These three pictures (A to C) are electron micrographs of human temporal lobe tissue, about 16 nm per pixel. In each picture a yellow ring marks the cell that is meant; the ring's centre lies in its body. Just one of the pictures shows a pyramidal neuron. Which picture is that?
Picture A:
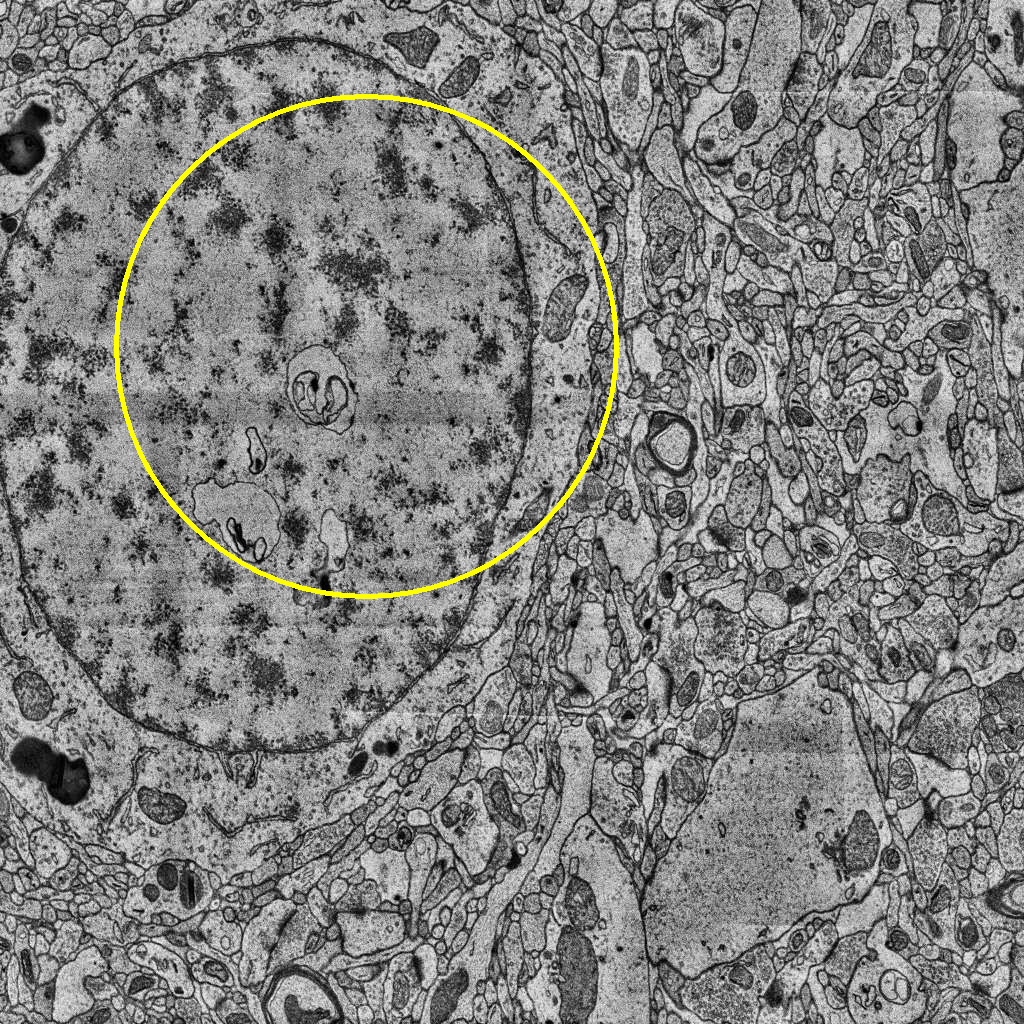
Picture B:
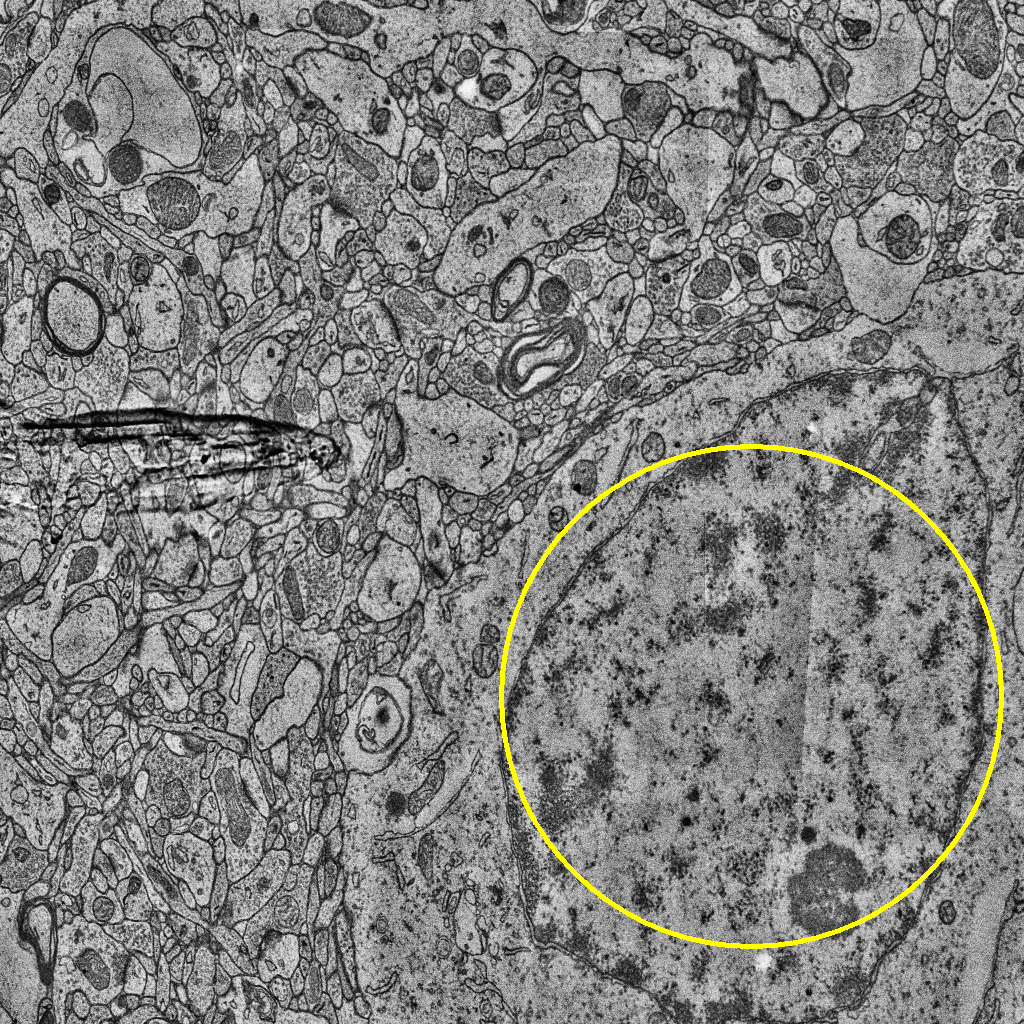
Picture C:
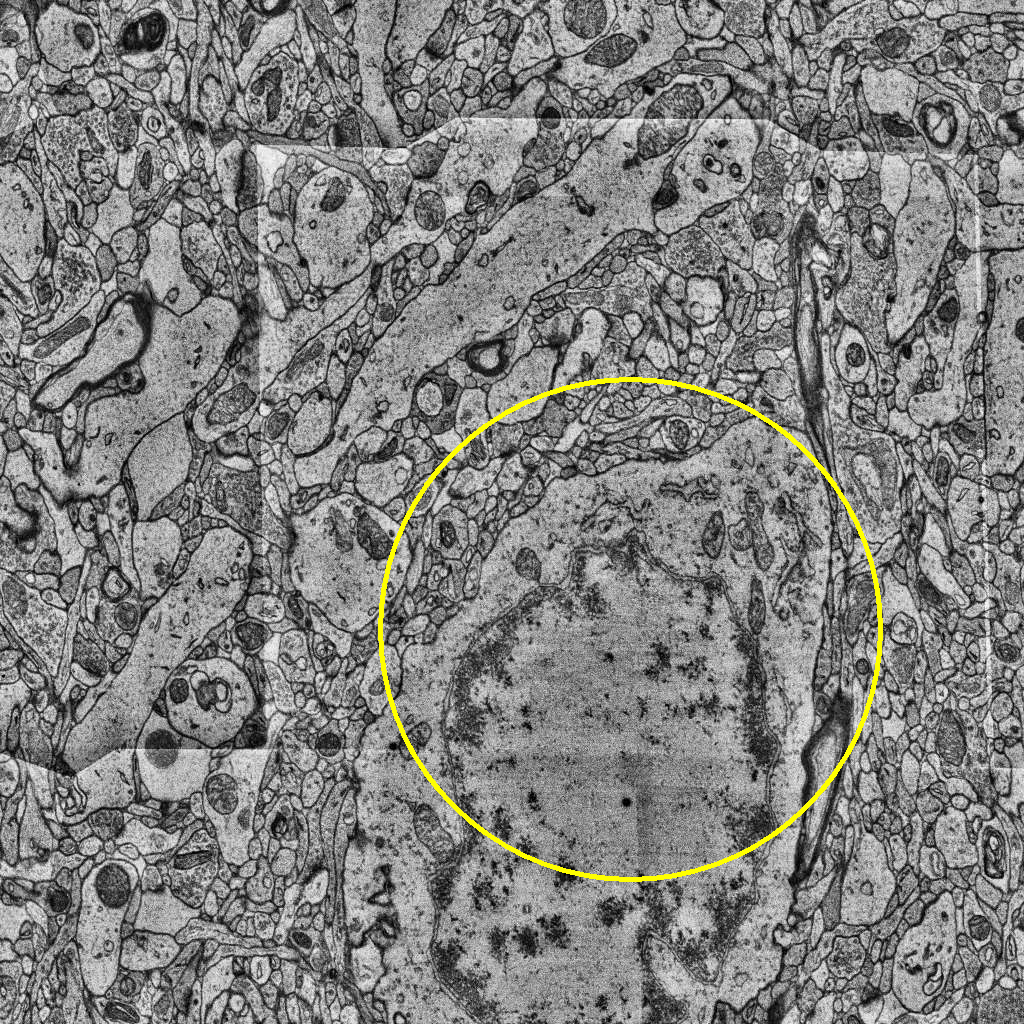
It is picture A that shows the pyramidal neuron.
